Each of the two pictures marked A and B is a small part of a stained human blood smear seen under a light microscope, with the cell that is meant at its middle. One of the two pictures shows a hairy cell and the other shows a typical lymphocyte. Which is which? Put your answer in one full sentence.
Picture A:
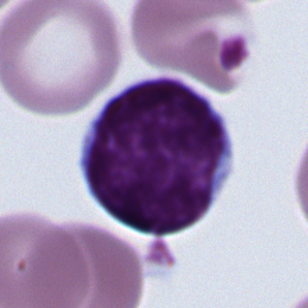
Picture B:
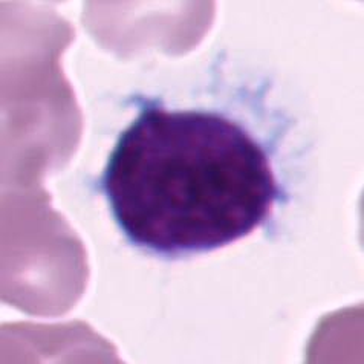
Picture A shows a typical lymphocyte and picture B shows a hairy cell.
